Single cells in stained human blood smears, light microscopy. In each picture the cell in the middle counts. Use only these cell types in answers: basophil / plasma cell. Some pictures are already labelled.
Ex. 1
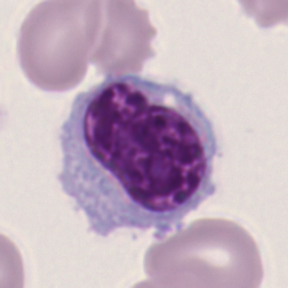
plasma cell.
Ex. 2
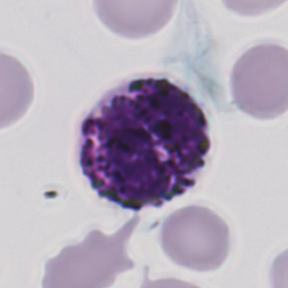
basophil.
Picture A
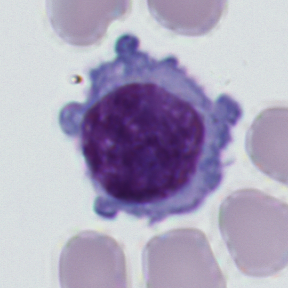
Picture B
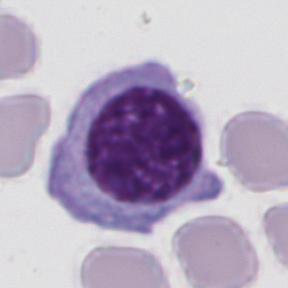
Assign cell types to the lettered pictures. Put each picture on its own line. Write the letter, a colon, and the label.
A: plasma cell.
B: plasma cell.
